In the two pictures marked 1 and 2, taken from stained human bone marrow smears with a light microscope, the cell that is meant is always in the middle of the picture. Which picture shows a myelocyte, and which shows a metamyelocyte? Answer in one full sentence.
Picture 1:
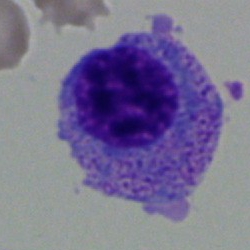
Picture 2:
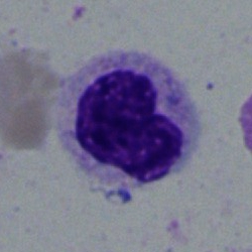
Picture 2 shows a metamyelocyte, while picture 1 shows a myelocyte.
